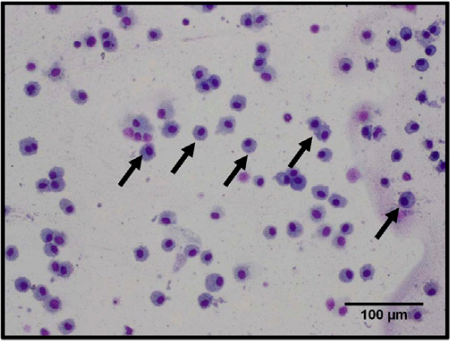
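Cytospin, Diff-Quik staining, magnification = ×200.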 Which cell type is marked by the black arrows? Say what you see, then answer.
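Macrophages. Each arrowed cell has a single dark purple nucleus. The nucleus sits in a rim of pale blue-grey cytoplasm.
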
